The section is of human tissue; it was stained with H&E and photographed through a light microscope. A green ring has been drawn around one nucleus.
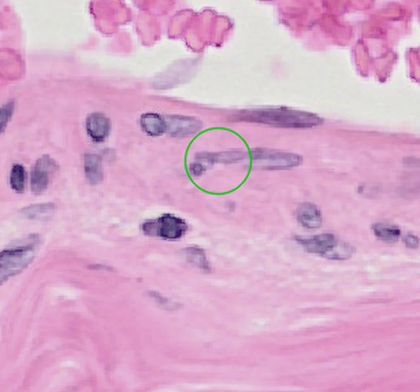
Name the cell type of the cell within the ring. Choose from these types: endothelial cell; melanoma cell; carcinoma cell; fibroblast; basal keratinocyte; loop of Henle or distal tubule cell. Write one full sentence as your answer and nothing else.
In this tissue sample, the cell within the ring is an endothelial cell.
